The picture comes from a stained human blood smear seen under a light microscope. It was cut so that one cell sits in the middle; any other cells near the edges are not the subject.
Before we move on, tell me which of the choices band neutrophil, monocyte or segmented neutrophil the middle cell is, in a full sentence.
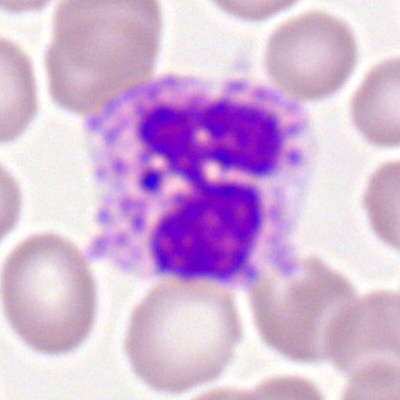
Where the crop is centred, there is a segmented neutrophil.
